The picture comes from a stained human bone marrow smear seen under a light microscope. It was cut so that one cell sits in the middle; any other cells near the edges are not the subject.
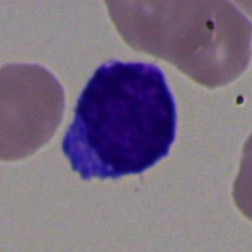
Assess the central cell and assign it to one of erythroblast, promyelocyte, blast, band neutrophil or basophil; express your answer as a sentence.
Regarding the central cell, it is a blast.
